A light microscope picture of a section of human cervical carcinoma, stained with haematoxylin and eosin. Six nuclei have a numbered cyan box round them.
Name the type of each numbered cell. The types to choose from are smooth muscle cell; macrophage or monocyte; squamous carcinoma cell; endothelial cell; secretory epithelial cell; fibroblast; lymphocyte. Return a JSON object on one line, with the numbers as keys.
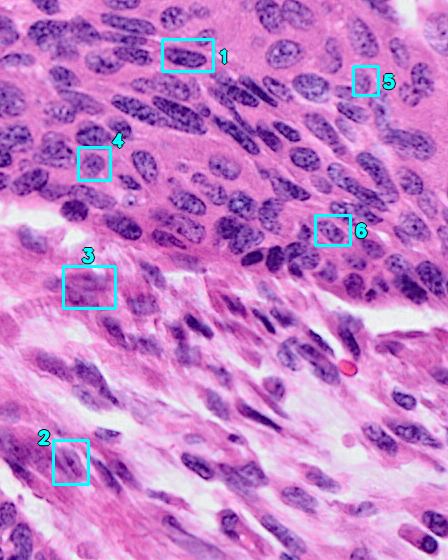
{"1": "squamous carcinoma cell", "2": "fibroblast", "3": "fibroblast", "4": "squamous carcinoma cell", "5": "squamous carcinoma cell", "6": "squamous carcinoma cell"}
